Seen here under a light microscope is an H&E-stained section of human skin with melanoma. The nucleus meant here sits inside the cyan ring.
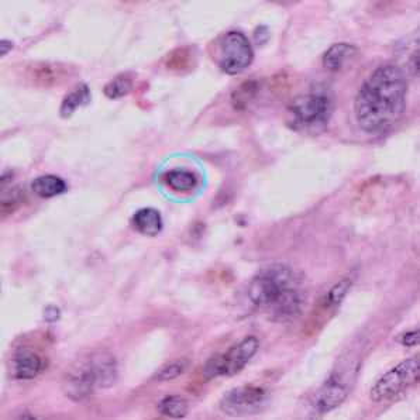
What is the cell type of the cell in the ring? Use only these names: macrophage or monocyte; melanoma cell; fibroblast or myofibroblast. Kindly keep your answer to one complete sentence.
As a matter of cell type, the cell in the ring is a macrophage or monocyte.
